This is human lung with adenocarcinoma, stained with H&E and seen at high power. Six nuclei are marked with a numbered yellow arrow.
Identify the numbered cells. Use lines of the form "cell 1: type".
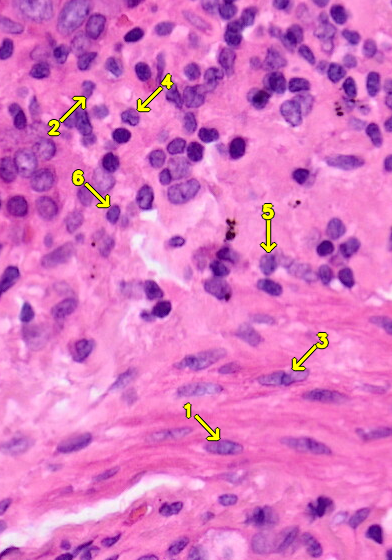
cell 1: smooth muscle cell or pericyte
cell 2: lymphocyte
cell 3: smooth muscle cell or pericyte
cell 4: lymphocyte
cell 5: lymphocyte
cell 6: lymphocyte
